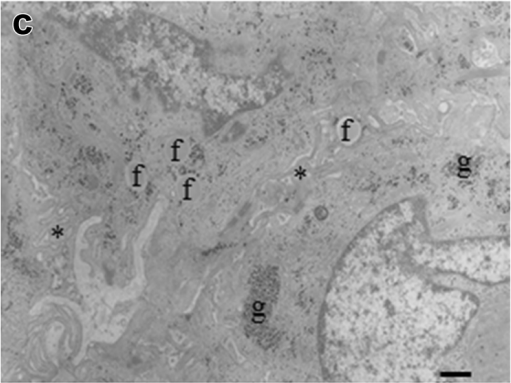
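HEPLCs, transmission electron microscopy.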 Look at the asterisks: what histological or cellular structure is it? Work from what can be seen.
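Many thin folded membrane projections interlock between two cells. The projections are clustered in the space between cells. So: Interdigitations with microvilli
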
